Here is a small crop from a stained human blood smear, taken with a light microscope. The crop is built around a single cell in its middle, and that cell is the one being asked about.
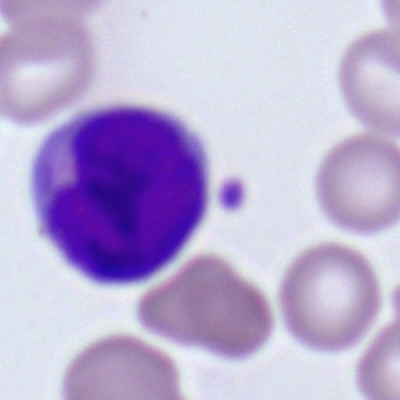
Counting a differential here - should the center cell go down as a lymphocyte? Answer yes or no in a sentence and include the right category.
No, the middle of this crop is occupied by a myeloblast rather than a lymphocyte.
